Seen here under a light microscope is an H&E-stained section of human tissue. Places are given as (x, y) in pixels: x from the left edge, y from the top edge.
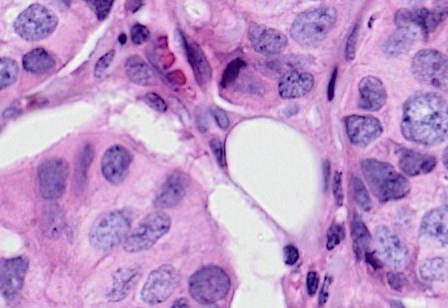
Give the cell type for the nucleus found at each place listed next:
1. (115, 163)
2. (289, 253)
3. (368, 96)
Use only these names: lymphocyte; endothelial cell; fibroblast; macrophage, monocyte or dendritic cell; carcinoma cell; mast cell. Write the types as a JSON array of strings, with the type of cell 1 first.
["carcinoma cell", "lymphocyte", "carcinoma cell"]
